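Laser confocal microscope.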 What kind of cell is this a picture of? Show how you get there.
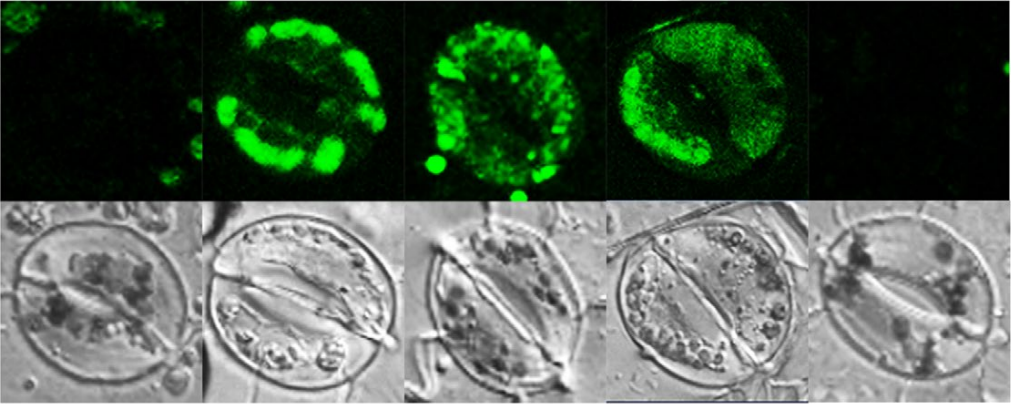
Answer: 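Each transmitted-light image shows a pair of kidney-shaped cells flanking a central slit-like pore. The paired cells sit inside an oval outline and contain many round granules. That points to this answer: guard cells.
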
